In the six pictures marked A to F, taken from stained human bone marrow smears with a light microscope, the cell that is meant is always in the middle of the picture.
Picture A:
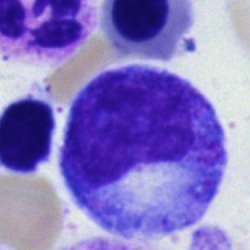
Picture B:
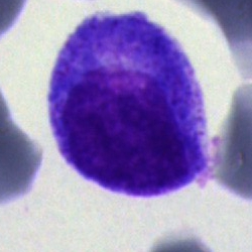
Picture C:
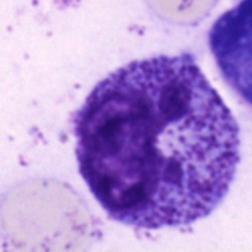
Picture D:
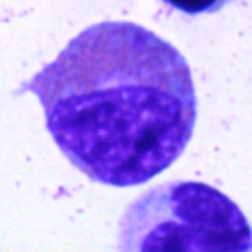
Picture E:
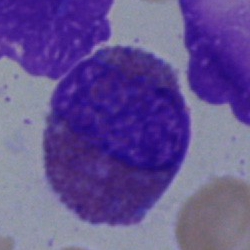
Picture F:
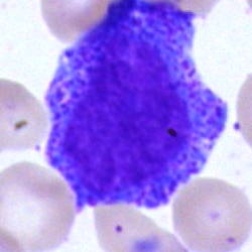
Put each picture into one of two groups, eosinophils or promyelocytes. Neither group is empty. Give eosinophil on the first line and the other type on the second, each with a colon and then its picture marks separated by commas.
eosinophil: D, E
promyelocyte: A, B, C, F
